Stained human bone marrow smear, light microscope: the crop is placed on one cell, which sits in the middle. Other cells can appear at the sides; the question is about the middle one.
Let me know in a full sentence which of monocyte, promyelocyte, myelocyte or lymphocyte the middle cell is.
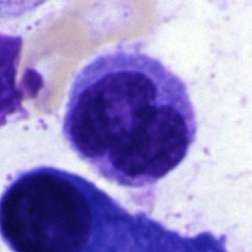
To answer, the cell in the center of the crop is a monocyte.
